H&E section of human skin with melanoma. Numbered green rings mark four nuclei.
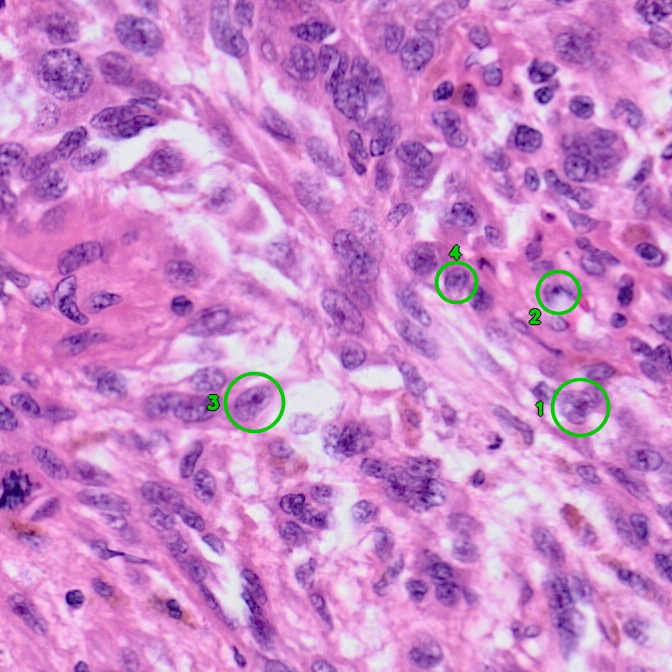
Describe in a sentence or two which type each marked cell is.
Cells 1, 3 and 4 are melanoma cells. Cell 2 is an endothelial cell.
